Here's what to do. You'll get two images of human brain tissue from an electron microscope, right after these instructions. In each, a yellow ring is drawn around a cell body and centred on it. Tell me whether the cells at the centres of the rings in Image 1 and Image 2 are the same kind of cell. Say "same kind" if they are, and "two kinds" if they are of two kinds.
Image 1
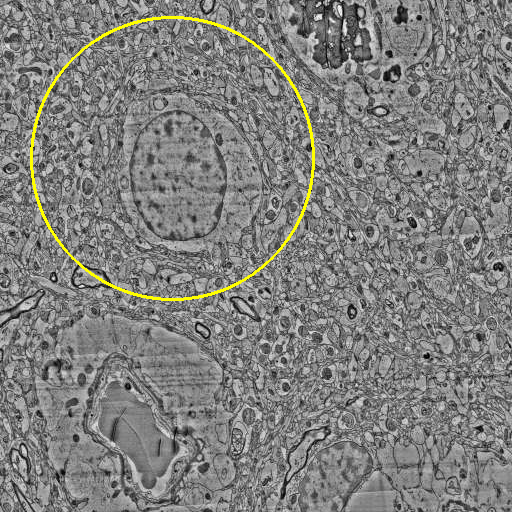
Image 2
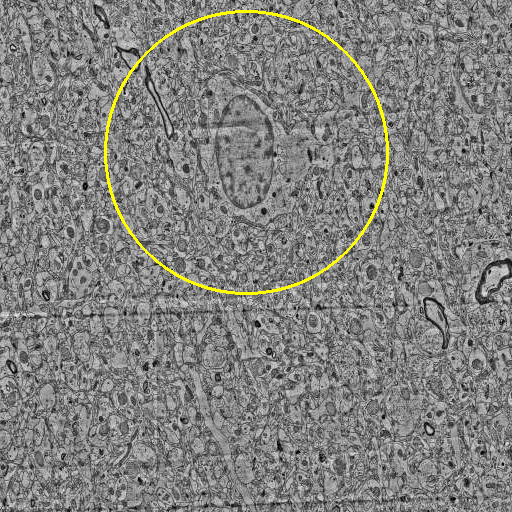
same kind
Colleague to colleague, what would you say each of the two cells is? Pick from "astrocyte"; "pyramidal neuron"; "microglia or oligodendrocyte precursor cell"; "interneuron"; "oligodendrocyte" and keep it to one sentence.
The cell in the first picture is an astrocyte, and so is the one in the second.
